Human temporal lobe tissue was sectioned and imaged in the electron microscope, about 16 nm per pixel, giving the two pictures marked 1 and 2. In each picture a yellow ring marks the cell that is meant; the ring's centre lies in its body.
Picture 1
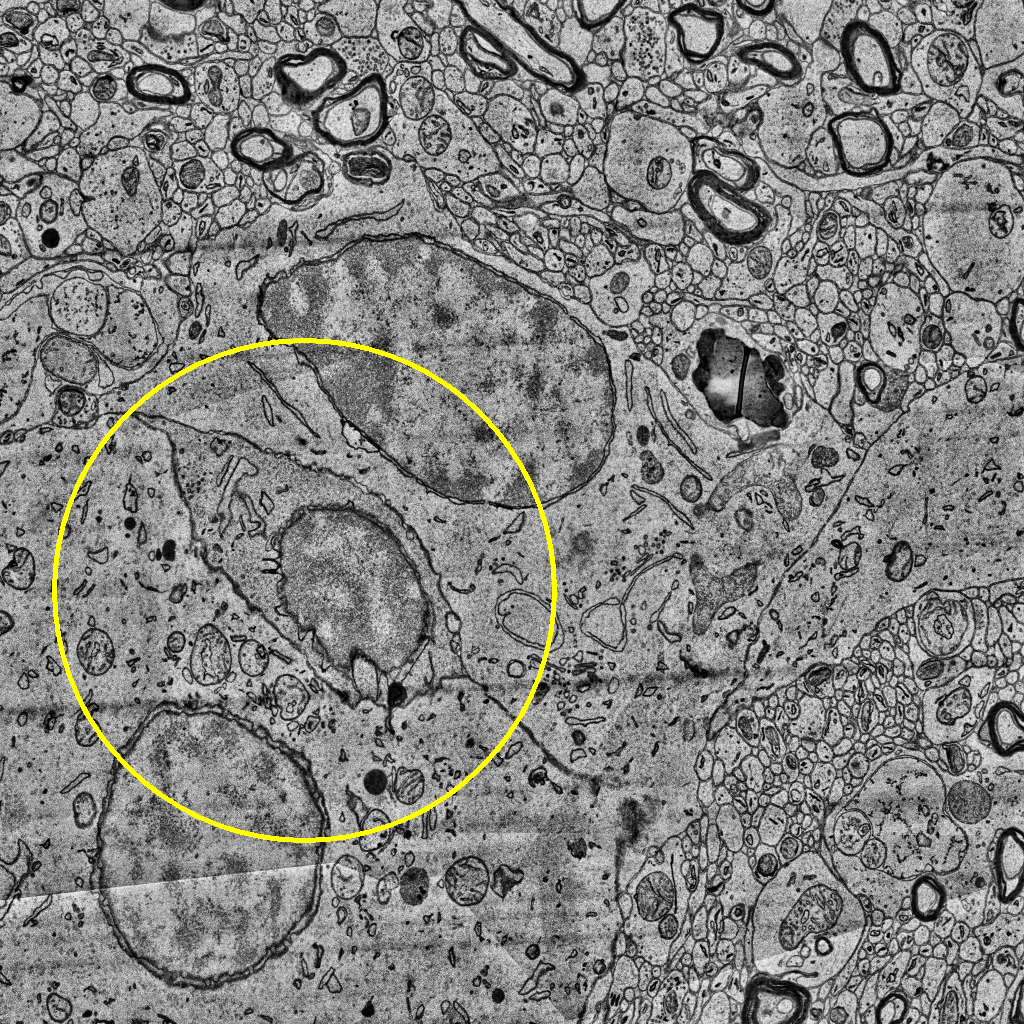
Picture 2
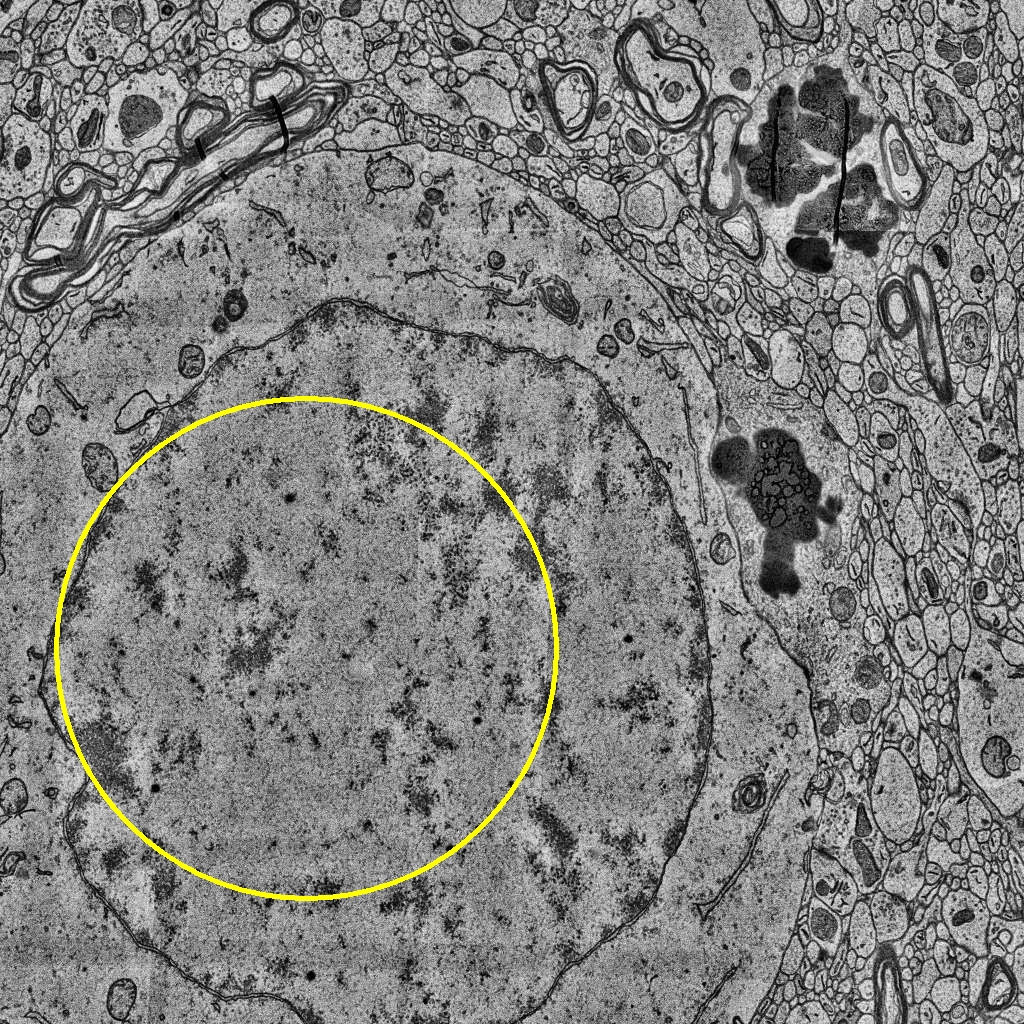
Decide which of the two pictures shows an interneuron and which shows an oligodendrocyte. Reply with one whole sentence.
Picture 1 shows an oligodendrocyte and picture 2 shows an interneuron.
